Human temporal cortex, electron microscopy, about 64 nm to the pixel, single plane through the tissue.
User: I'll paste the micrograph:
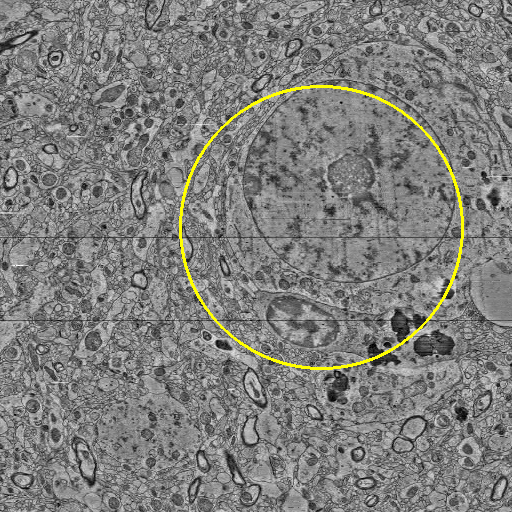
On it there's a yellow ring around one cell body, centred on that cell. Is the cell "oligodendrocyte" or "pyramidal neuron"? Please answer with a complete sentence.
The cell ringed in yellow is a pyramidal neuron.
